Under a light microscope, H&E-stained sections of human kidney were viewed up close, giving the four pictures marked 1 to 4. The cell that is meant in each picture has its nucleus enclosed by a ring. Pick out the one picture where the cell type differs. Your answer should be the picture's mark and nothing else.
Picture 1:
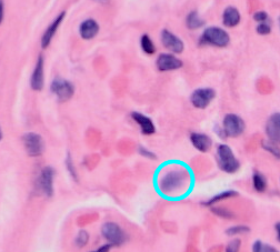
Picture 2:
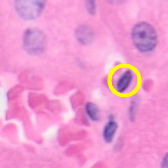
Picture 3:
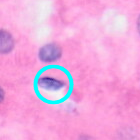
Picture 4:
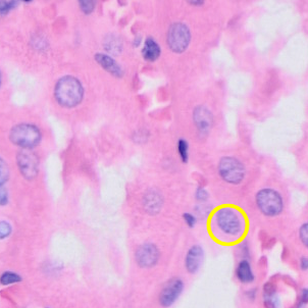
4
